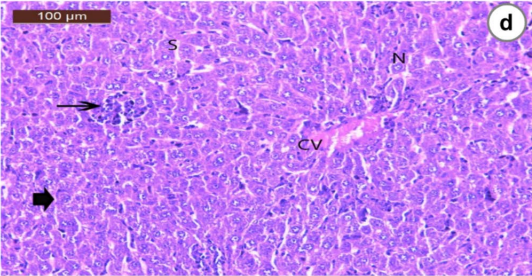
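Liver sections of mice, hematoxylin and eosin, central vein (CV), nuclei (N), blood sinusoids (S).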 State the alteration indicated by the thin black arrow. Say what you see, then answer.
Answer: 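A small focus of dark, closely set nuclei among the cords of larger cells.
Hence: inflammatory cell infiltrates.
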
